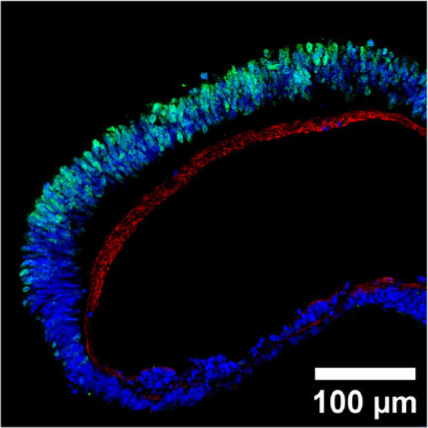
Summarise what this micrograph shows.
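The nuclei, blue, are elongated and crowded in many tiers, oriented across the thickness of the layer as in a pseudostratified epithelium. Many nuclei in the outer part of the thick layer also carry green signal, while the layer thins out toward its lower end. A thinner, less organised sheet of blue nuclei lies along the lower edge, also lined by red.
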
